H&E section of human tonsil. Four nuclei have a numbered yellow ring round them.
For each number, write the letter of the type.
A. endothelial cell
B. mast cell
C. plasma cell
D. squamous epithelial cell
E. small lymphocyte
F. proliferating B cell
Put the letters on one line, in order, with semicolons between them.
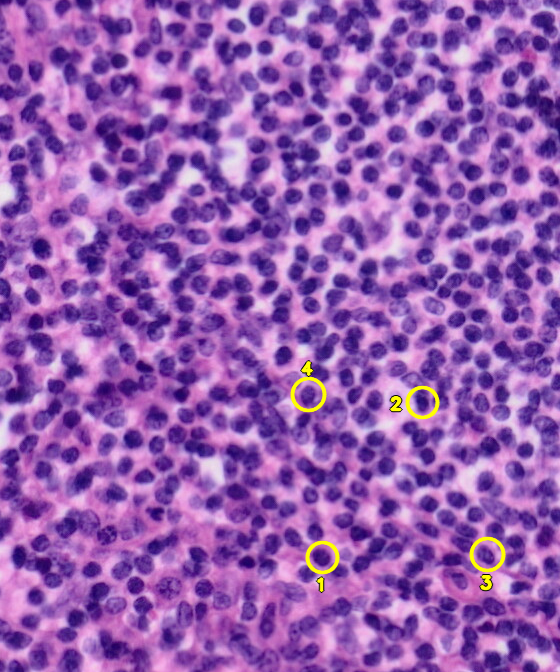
C; E; E; E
